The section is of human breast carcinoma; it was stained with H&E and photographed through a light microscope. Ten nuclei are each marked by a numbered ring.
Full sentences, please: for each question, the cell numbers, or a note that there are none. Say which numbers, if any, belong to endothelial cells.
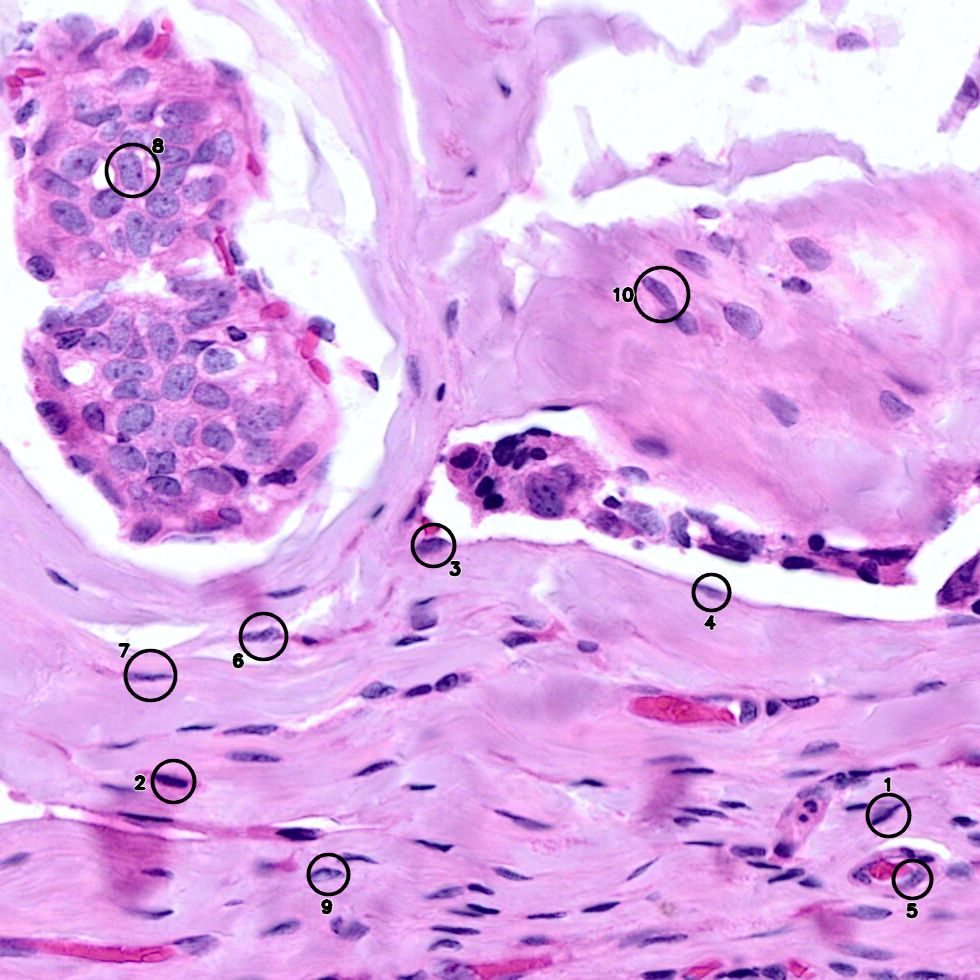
Cells 3 and 5 share one type; they are endothelial cells.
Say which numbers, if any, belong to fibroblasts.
The cells that have been numbered 1, 4, 6, 7, 9 and 10 are fibroblasts.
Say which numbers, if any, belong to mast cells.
Only the cell marked 2 is a mast cell.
